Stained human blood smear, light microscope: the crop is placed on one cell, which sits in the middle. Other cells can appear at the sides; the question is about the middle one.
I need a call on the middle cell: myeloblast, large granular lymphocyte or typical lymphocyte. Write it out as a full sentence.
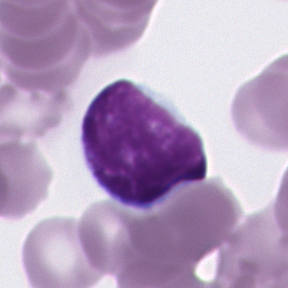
The middle of this crop is occupied by a typical lymphocyte.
